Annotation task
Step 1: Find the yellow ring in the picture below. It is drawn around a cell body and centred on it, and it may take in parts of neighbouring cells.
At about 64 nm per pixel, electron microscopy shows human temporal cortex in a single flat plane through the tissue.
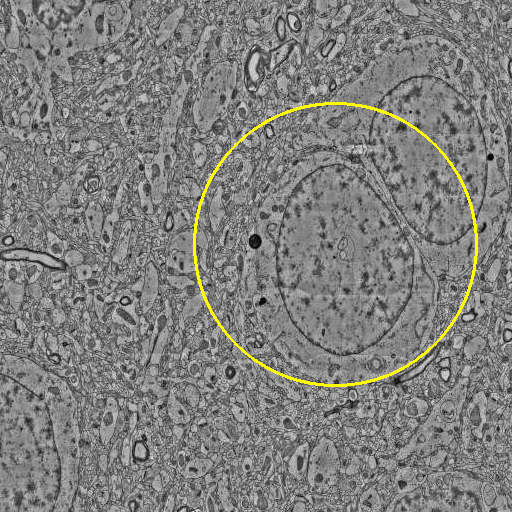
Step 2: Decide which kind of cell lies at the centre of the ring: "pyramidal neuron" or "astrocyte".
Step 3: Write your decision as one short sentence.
The kind of cell at the ring's centre is a pyramidal neuron.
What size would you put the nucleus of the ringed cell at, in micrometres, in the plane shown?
In this plane, the nucleus is roughly 12 by 9 micrometres.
